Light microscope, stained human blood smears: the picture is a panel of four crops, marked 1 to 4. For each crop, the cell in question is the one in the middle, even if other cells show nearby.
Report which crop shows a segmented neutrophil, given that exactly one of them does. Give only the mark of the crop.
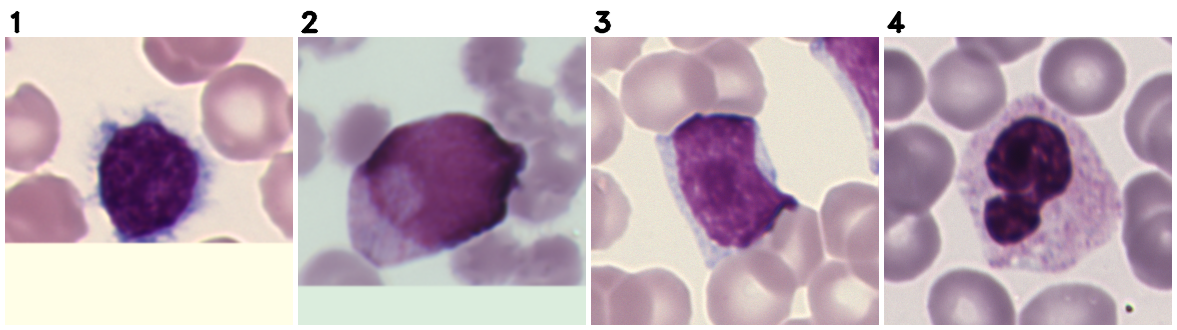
4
